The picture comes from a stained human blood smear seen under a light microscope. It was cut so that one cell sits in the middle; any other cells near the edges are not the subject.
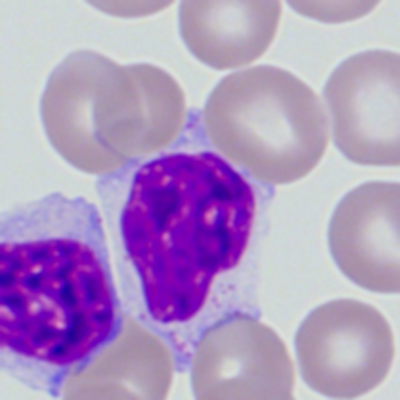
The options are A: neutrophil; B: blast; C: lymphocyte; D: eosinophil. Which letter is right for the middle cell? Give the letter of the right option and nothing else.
C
